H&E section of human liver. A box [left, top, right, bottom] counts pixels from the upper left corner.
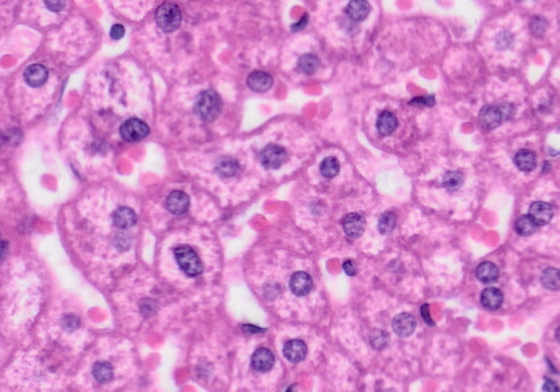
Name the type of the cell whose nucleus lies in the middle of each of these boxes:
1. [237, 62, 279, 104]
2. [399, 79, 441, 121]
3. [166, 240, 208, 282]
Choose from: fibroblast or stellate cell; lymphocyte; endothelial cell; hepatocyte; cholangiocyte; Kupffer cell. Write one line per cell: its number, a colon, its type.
1: hepatocyte
2: endothelial cell
3: hepatocyte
